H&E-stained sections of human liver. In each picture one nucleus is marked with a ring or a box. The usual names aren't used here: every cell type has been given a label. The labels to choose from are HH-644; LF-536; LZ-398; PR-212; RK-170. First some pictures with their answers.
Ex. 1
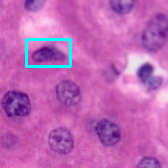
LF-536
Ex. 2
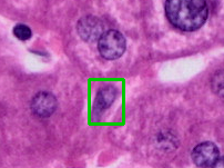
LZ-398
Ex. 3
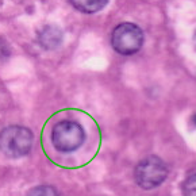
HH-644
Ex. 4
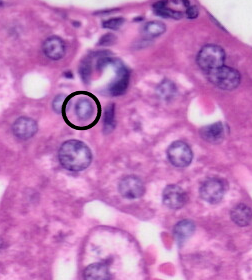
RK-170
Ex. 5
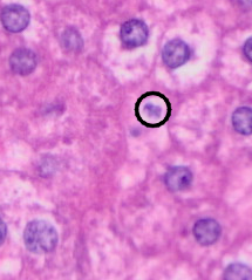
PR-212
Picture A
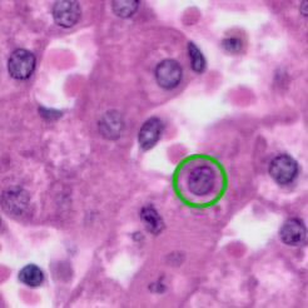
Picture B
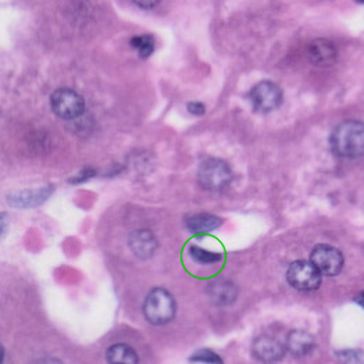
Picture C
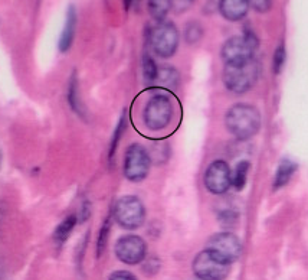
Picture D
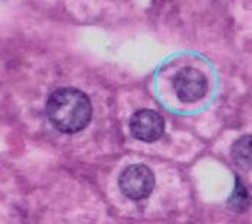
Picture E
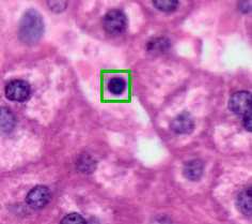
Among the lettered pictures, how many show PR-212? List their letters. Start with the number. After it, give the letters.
1: E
